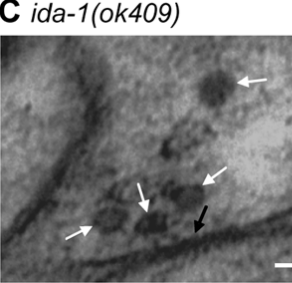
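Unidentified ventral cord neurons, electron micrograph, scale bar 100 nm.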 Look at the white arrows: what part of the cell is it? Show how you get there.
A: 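Large dense core vesicle-like structures. A few round profiles with dark cores. They lie near a dark membrane thickening.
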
